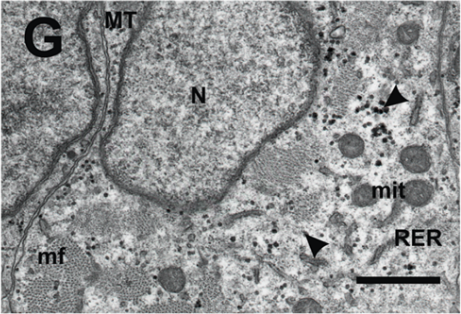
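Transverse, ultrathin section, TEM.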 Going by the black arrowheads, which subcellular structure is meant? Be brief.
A: glycogen granules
